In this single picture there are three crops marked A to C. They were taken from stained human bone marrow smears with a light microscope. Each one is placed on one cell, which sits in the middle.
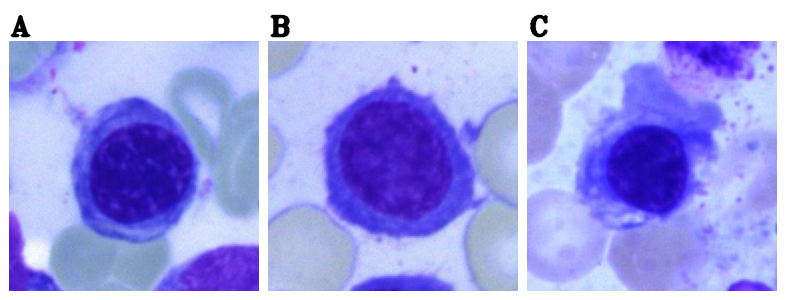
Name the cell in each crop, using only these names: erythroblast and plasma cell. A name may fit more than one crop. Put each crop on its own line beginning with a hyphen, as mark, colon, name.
- A: erythroblast
- B: plasma cell
- C: erythroblast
